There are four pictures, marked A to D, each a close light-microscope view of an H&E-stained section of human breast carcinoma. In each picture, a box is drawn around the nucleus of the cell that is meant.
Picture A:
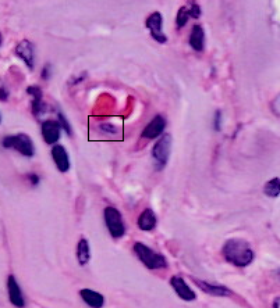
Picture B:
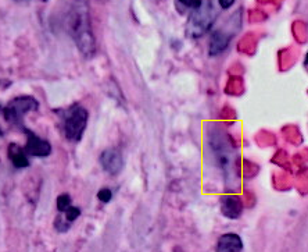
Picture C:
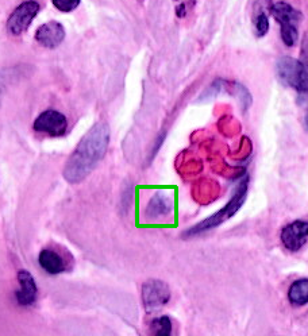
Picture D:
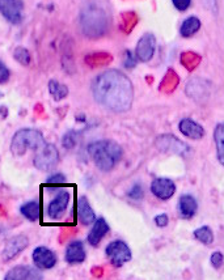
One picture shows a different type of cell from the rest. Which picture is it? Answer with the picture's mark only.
D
